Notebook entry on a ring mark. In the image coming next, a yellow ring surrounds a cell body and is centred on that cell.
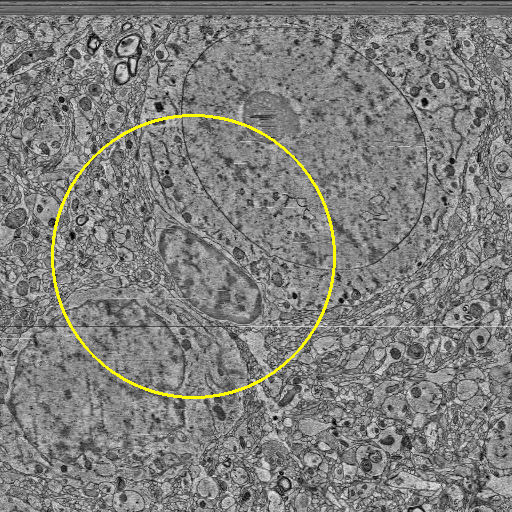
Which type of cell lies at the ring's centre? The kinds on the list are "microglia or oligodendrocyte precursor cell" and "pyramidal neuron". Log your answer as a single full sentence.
Centred in the yellow ring is a microglial cell or oligodendrocyte precursor cell, the cell recorded for this image.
